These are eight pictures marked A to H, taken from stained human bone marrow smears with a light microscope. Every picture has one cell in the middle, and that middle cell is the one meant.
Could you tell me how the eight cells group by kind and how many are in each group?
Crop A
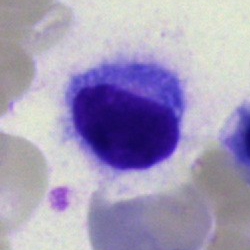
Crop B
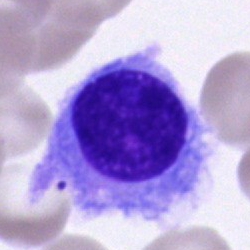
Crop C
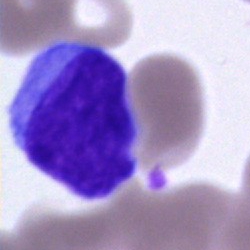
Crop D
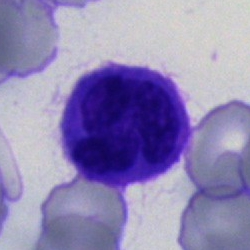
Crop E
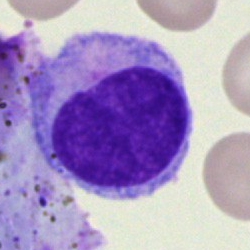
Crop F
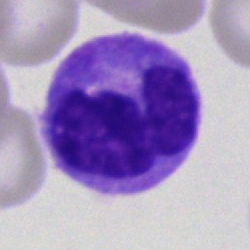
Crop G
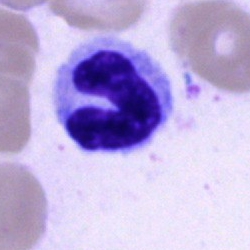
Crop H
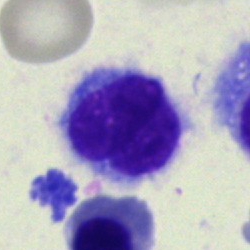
hairy cell: 4
monocyte: 2
blast: 1
band neutrophil: 1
